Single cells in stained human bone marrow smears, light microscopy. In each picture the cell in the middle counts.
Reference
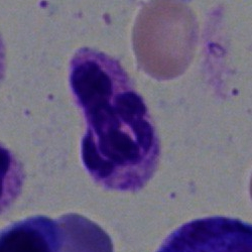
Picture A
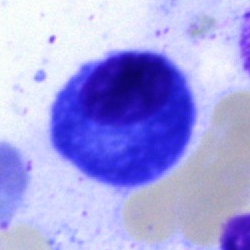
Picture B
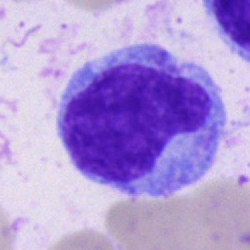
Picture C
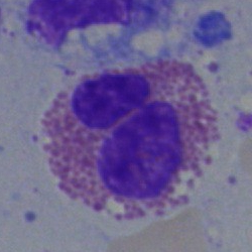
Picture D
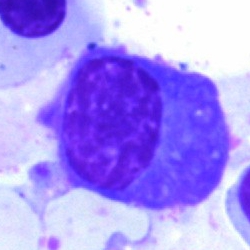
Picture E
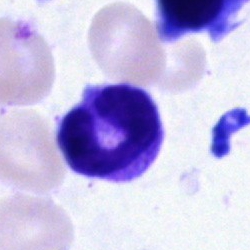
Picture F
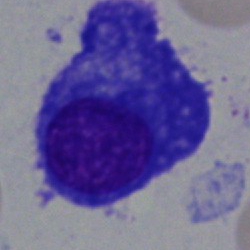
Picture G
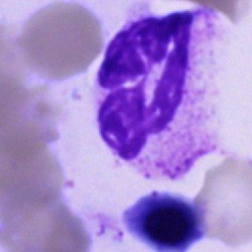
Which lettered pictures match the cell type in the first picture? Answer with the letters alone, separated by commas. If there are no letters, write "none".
E, G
